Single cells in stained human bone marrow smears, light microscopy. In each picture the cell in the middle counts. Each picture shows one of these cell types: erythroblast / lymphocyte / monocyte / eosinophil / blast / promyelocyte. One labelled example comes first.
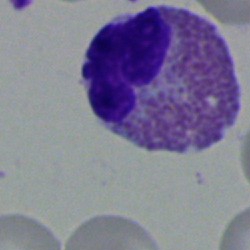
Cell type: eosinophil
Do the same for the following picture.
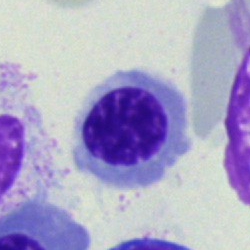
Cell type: erythroblast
